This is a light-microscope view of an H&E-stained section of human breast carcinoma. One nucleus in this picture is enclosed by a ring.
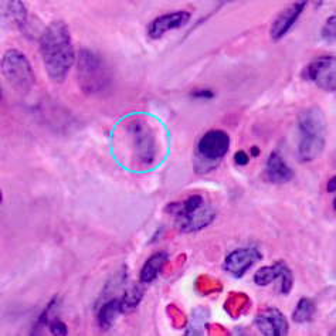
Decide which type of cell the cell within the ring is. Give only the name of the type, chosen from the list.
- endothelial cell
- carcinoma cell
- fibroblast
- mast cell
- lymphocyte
mast cell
